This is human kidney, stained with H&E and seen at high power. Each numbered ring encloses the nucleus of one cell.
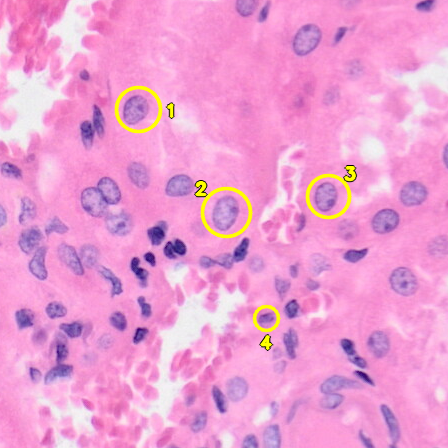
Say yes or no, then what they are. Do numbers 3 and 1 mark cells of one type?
Yes, regarding cells 3 and 1, both are proximal tubule cells.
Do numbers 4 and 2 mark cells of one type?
No, listen: cell 4 is an endothelial cell and cell 2 is a proximal tubule cell.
